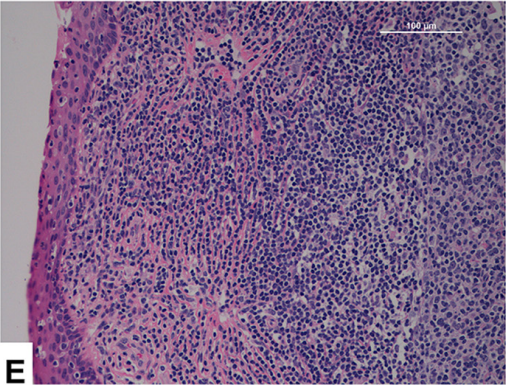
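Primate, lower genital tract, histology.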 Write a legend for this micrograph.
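Submucosa beneath a thin squamous epithelium is densely infiltrated by small round cells with dark purple nuclei and scant cytoplasm. Among them lie scattered larger cells with paler oval nuclei, and a few thin pink fibrous strands and small vessels cross the infiltrate.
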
